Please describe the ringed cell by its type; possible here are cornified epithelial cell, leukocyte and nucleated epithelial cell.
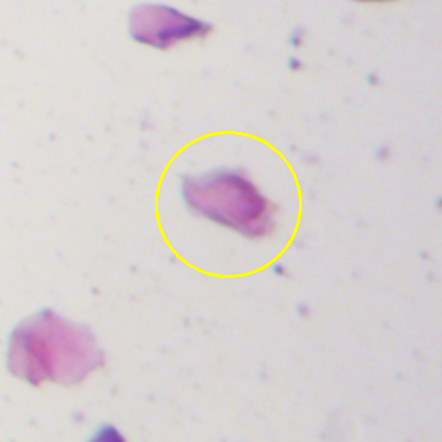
The yellow ring marks a cornified epithelial cell.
